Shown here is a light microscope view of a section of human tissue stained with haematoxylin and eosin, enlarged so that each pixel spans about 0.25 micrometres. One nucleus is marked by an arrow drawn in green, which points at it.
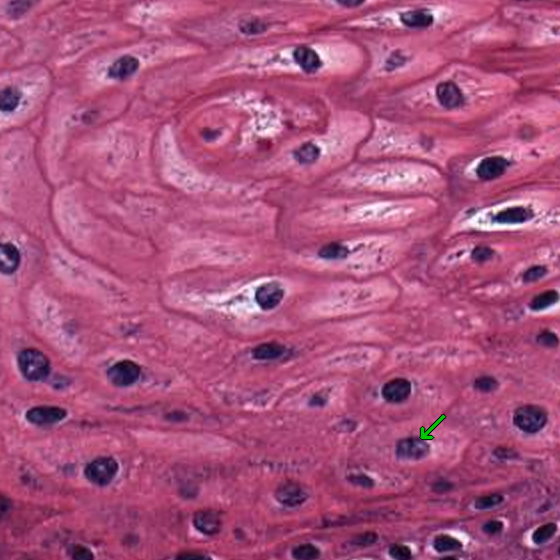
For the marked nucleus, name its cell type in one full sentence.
The marked nucleus is identified as belonging to a squamous epithelial cell.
